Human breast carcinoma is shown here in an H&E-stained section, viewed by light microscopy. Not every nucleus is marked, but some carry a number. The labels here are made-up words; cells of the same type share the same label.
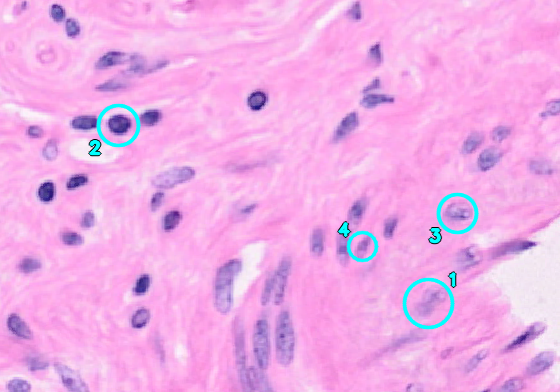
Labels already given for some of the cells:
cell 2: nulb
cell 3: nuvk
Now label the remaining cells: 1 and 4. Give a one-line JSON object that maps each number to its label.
{"1": "nuvk", "4": "nuvk"}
